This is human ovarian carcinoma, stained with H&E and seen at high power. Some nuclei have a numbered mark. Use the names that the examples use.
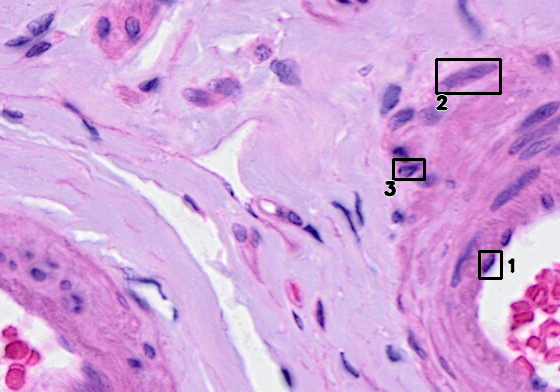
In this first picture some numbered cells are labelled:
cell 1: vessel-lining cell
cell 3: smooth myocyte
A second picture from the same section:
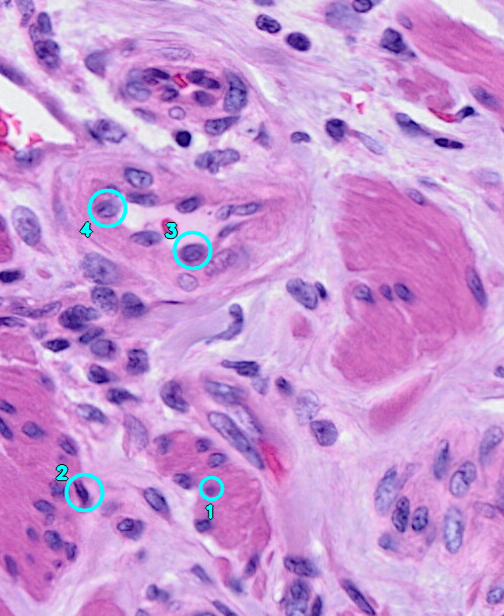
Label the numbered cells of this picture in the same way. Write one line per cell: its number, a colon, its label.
1: smooth myocyte
2: smooth myocyte
3: vessel-lining cell
4: vessel-lining cell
